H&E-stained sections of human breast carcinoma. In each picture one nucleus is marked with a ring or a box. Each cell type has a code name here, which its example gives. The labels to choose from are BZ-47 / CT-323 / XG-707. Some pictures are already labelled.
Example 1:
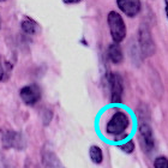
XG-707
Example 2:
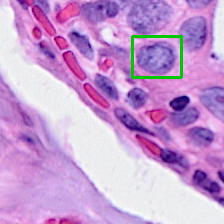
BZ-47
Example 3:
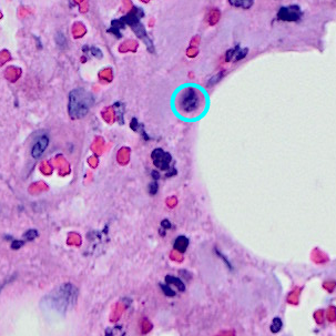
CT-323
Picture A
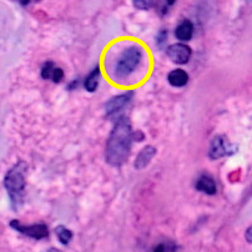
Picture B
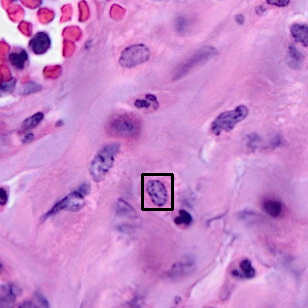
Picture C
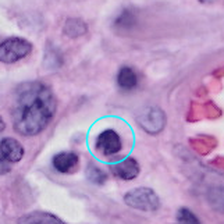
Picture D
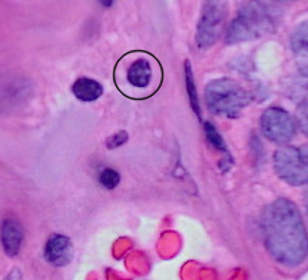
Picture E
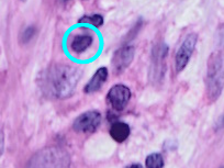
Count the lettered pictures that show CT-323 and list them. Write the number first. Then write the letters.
2, namely A, B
